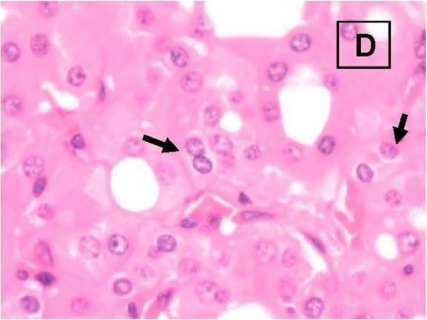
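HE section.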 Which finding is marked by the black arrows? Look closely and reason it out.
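The arrowed nuclei are surrounded by a faint pale rim. Surrounding cytoplasm is pink. So: a vague perinuclear halo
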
